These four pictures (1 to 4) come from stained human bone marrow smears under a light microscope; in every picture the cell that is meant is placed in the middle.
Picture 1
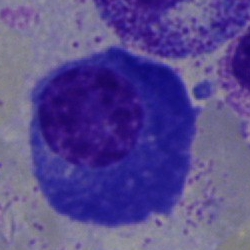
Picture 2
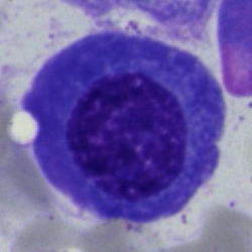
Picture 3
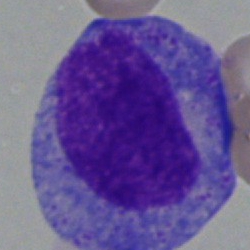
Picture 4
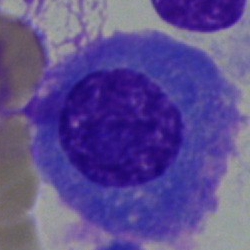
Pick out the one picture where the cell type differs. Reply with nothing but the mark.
3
